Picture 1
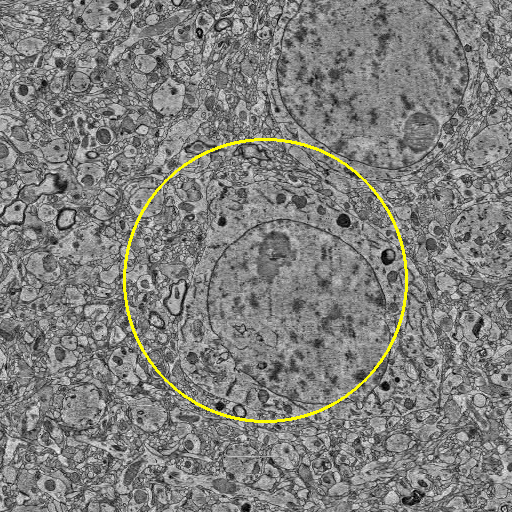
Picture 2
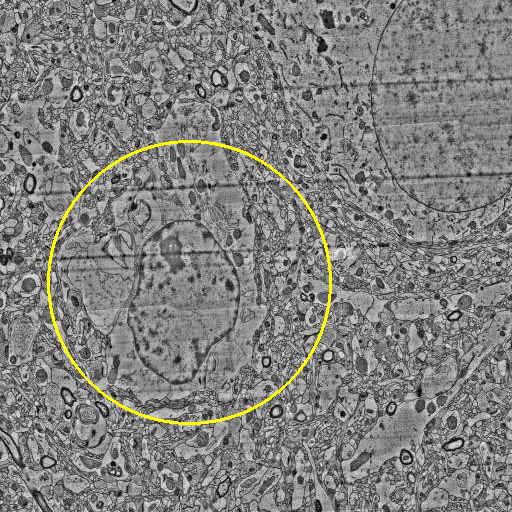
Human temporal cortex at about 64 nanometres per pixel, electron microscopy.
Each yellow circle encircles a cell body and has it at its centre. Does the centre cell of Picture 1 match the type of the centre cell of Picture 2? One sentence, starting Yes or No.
No, the cell centred in Picture 1 and the one in Picture 2 have separate types.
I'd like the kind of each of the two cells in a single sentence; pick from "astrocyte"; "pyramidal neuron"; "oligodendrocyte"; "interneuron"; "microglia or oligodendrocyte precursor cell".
The first ring marks a pyramidal neuron, and the second ring marks an astrocyte.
